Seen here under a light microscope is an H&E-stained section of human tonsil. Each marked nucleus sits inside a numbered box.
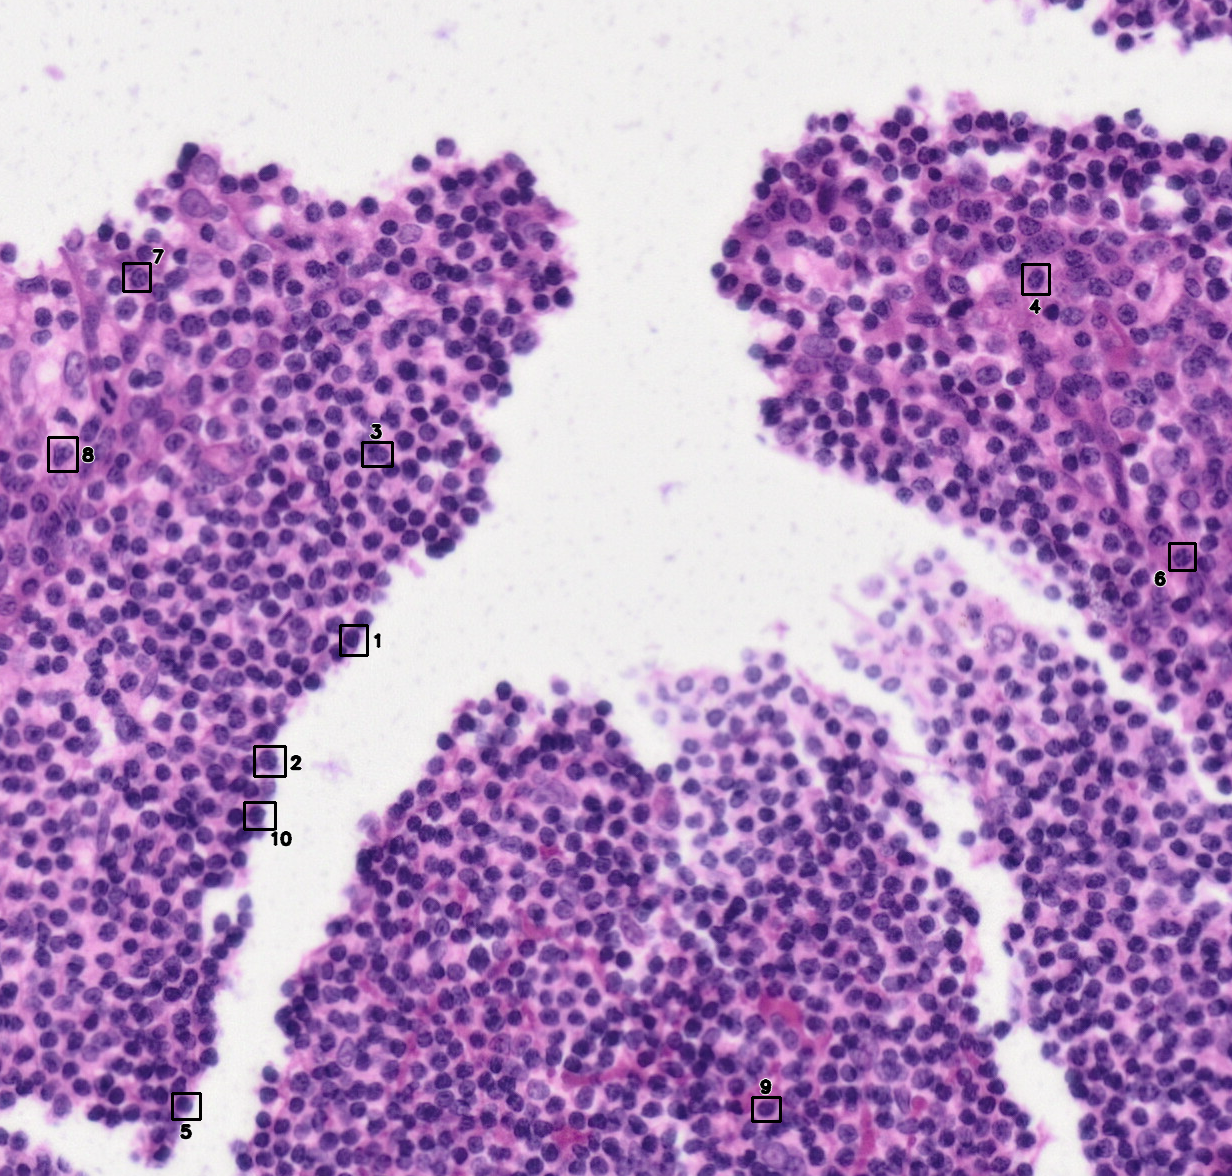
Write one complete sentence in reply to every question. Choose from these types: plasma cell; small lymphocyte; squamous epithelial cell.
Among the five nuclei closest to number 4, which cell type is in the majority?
Around number 4, most of the five nearest nuclei are those of plasma cells.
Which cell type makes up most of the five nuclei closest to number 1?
Small lymphocytes make up most of the five nuclei closest to number 1.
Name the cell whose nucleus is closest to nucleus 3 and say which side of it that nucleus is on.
Lying below and to the right of nucleus 3, the nearest nucleus is that of a small lymphocyte.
